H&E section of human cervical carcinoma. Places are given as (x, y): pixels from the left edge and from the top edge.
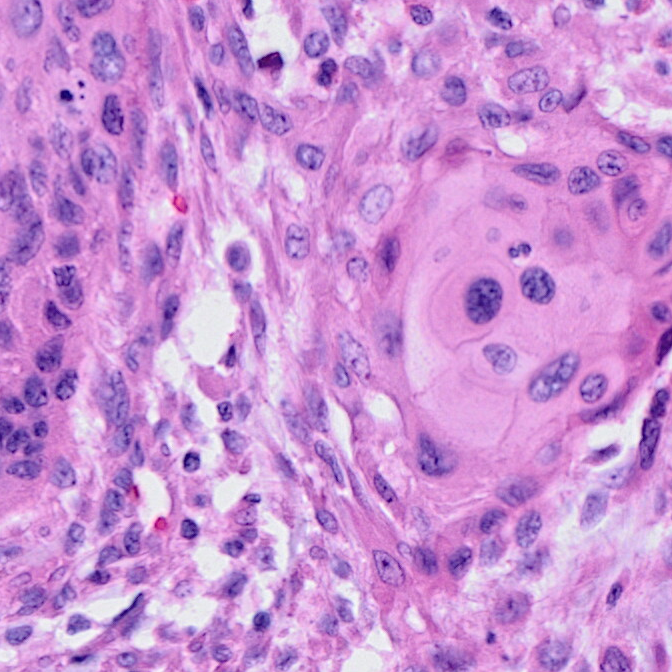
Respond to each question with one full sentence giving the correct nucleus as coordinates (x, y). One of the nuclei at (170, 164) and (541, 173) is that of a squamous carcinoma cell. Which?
The nucleus at (541, 173) is the one of the two that belongs to a squamous carcinoma cell.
